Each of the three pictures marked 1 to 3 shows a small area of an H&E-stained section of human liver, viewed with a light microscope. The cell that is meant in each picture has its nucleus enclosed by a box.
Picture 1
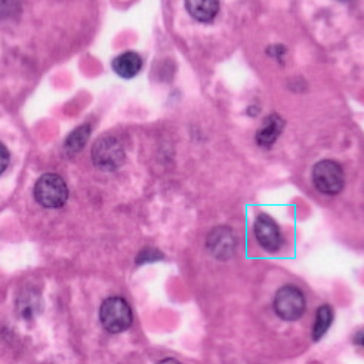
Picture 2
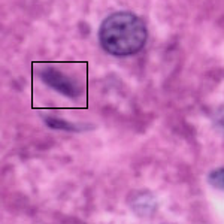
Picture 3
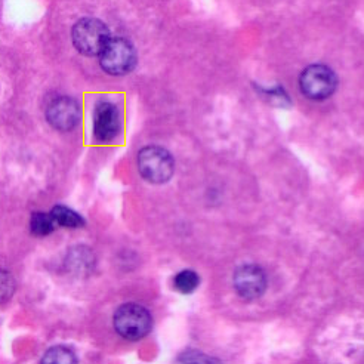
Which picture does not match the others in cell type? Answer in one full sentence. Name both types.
Picture 2 is the odd one out: it shows a “fibroblast or stellate cell”, while the others show Kupffer cells.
